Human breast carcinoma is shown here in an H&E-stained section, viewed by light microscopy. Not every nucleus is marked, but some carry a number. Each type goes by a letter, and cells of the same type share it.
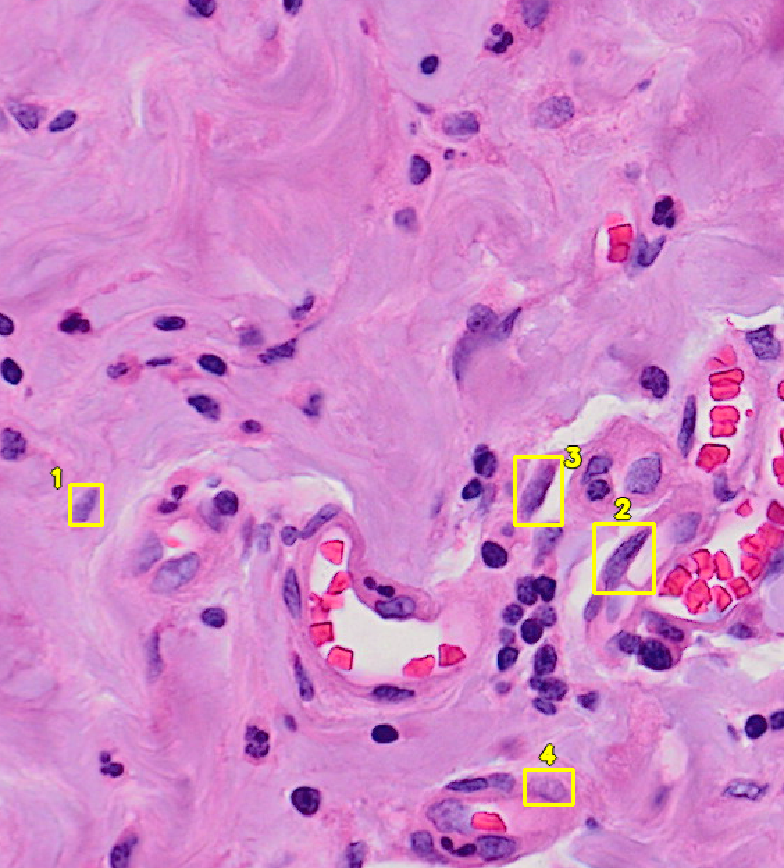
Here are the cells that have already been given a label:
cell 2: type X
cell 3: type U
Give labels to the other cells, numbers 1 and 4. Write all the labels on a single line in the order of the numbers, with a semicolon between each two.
type U; type X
